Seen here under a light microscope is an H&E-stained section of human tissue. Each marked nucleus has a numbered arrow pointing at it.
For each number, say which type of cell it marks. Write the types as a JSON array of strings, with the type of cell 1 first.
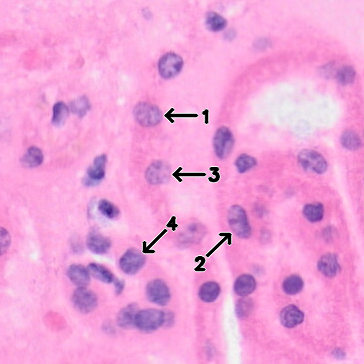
["proximal tubule cell", "proximal tubule cell", "proximal tubule cell", "collecting duct cell"]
